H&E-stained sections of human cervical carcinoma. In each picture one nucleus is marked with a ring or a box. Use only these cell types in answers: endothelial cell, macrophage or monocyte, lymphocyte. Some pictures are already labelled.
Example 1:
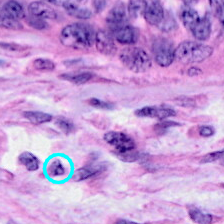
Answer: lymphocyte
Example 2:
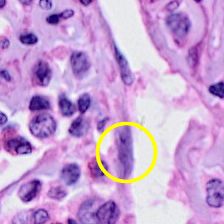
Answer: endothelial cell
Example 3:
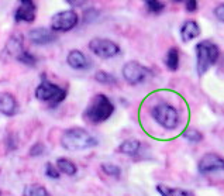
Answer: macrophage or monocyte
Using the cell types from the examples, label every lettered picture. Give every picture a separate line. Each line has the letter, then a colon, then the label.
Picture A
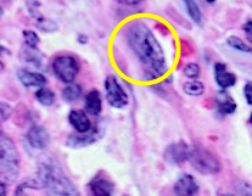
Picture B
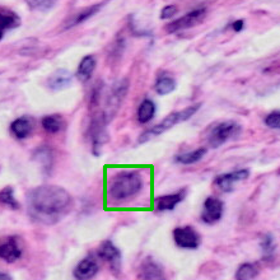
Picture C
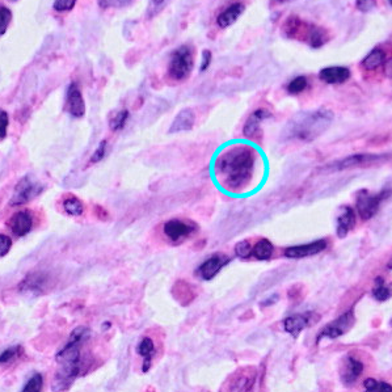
A: endothelial cell
B: macrophage or monocyte
C: macrophage or monocyte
